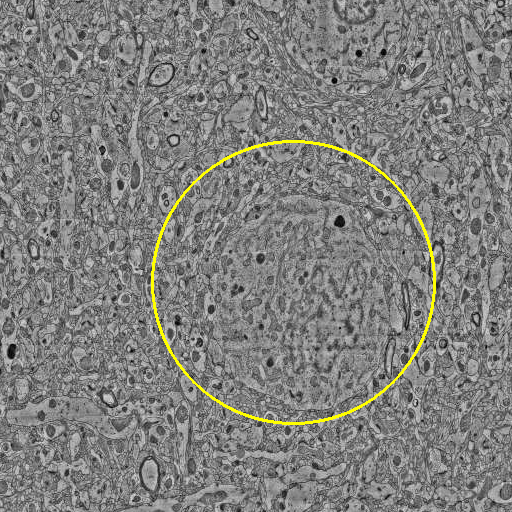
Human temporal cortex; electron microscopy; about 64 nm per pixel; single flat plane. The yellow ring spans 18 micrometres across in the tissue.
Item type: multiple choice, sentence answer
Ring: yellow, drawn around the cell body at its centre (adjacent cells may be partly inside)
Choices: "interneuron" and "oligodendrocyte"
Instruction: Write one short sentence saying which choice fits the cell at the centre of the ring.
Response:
This ring is drawn around an interneuron.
